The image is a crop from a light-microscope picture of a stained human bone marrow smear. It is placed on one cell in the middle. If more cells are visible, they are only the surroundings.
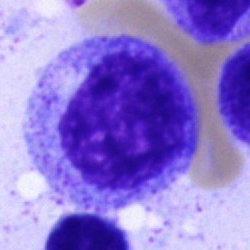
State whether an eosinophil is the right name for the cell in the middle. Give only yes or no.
no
